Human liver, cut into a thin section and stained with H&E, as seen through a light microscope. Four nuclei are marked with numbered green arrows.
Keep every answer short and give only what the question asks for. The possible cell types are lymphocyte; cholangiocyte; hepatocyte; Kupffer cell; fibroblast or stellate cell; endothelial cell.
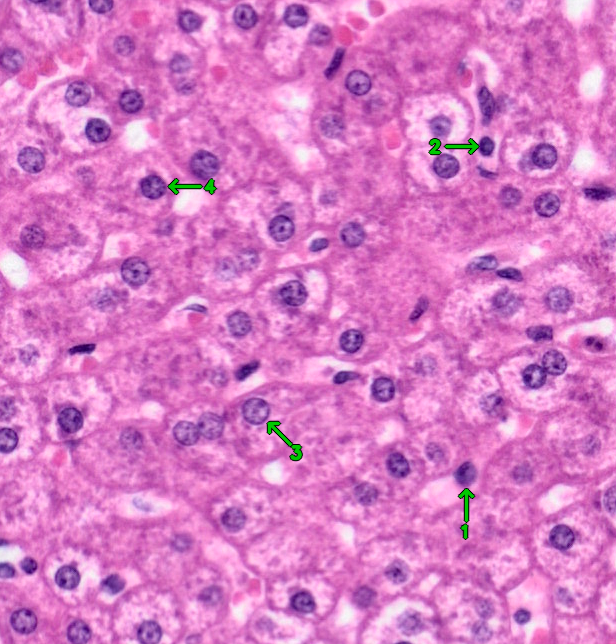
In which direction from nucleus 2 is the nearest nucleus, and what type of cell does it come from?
an endothelial cell; below nucleus 2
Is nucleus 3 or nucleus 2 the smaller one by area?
2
